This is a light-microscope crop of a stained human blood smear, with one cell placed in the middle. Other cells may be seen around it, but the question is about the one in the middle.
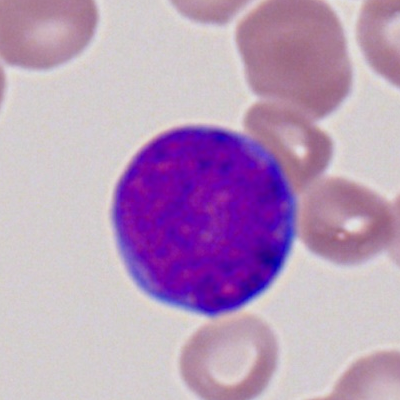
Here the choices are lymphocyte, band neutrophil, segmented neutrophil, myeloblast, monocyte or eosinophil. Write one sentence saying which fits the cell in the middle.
The centrally placed cell is classified as a myeloblast.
